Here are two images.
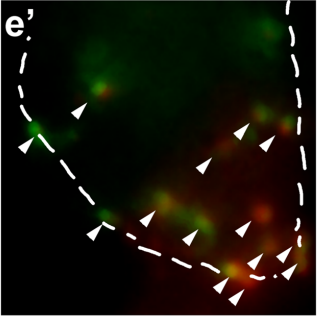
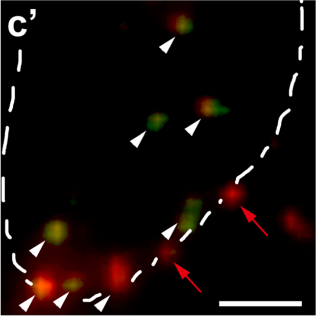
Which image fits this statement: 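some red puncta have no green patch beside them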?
The second image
